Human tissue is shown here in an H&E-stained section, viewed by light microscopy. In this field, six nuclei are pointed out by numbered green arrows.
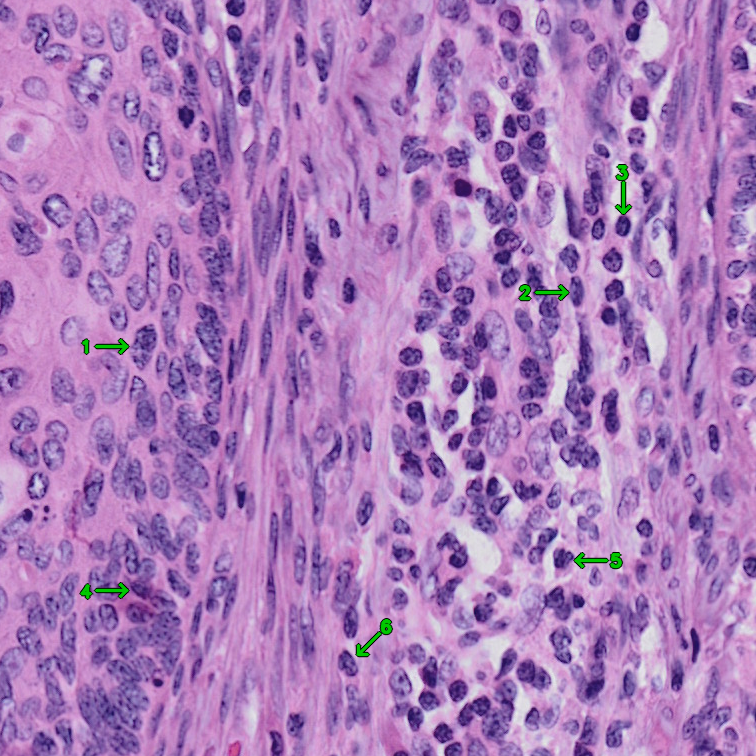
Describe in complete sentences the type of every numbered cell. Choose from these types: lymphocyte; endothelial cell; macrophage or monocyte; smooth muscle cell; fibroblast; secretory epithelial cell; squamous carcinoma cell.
Cell 1 is a squamous carcinoma cell, cell 2 is a lymphocyte, cell 3 is a lymphocyte, cell 4 is a squamous carcinoma cell, cell 5 is a lymphocyte and cell 6 is a lymphocyte.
